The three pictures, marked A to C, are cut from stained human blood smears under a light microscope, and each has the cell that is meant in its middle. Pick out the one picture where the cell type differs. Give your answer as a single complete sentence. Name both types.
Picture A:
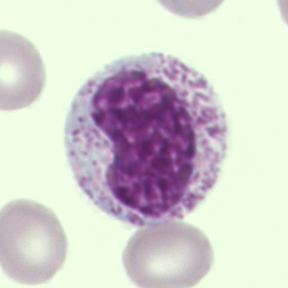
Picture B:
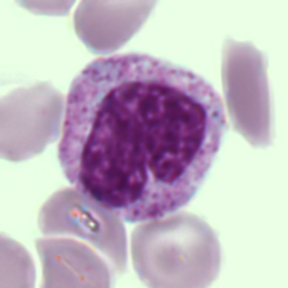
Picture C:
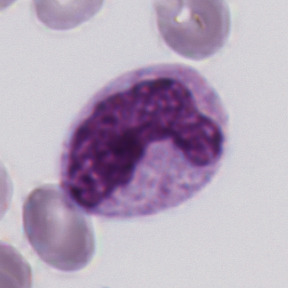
Picture A is the odd one out: it shows a metamyelocyte, while the others show band neutrophils.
